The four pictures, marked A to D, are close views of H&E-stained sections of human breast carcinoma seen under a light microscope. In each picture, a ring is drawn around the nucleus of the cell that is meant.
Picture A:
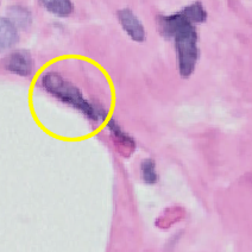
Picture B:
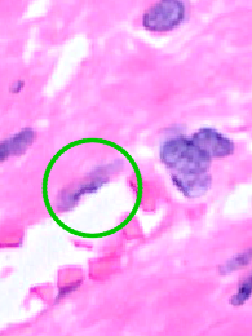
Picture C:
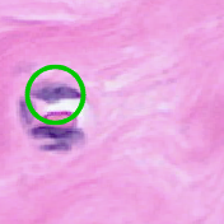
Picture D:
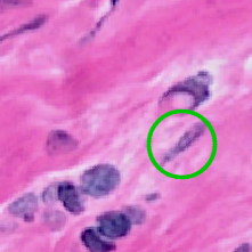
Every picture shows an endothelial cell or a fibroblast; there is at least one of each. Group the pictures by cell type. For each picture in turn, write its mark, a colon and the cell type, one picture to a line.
A: endothelial cell
B: endothelial cell
C: endothelial cell
D: fibroblast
